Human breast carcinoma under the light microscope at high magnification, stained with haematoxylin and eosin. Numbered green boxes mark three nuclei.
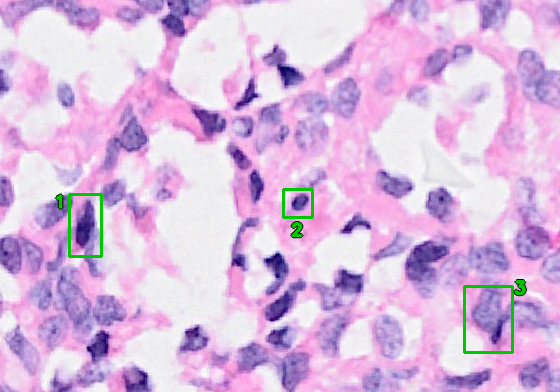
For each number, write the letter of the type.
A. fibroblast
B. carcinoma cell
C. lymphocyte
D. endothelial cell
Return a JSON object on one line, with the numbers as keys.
{"1": "B", "2": "C", "3": "B"}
